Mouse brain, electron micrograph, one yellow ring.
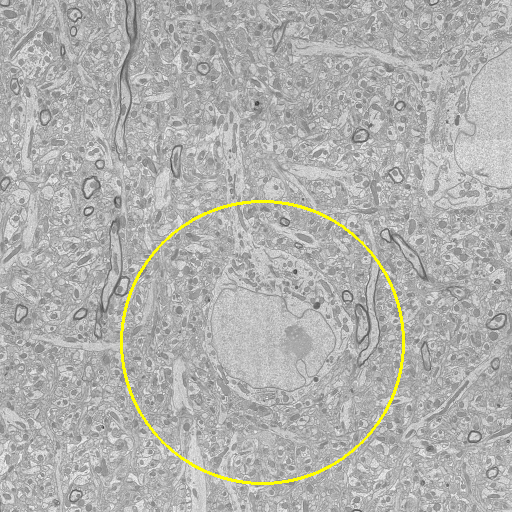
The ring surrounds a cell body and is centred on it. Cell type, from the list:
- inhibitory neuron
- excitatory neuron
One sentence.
The yellow ring circles an inhibitory neuron.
